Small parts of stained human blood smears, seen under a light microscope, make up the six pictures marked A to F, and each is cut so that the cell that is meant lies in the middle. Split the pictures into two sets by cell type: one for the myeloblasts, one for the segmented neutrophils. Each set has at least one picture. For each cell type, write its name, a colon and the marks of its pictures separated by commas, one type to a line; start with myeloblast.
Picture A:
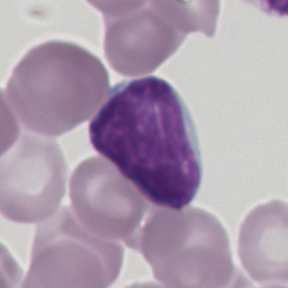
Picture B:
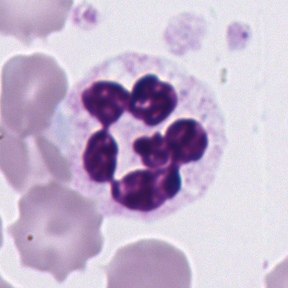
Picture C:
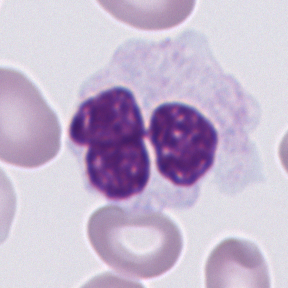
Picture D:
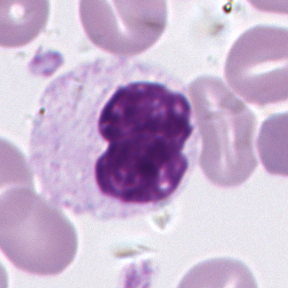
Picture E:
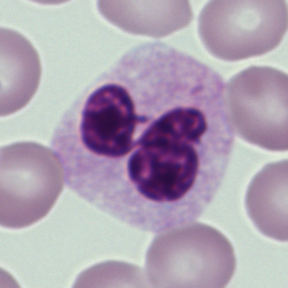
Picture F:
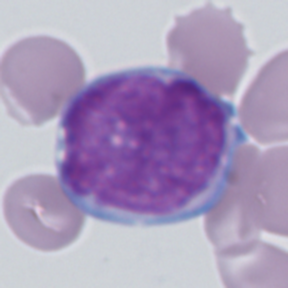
myeloblast: A, F
segmented neutrophil: B, C, D, E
